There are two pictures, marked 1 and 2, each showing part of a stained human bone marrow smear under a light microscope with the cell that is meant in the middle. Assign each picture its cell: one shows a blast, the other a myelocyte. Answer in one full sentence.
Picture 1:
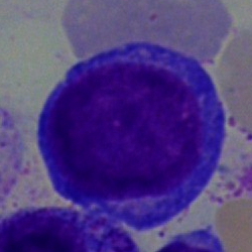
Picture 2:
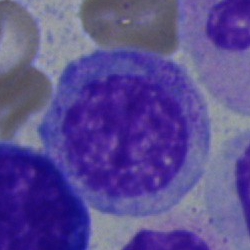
The cell in picture 1 is a blast, and the one in picture 2 is a myelocyte.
